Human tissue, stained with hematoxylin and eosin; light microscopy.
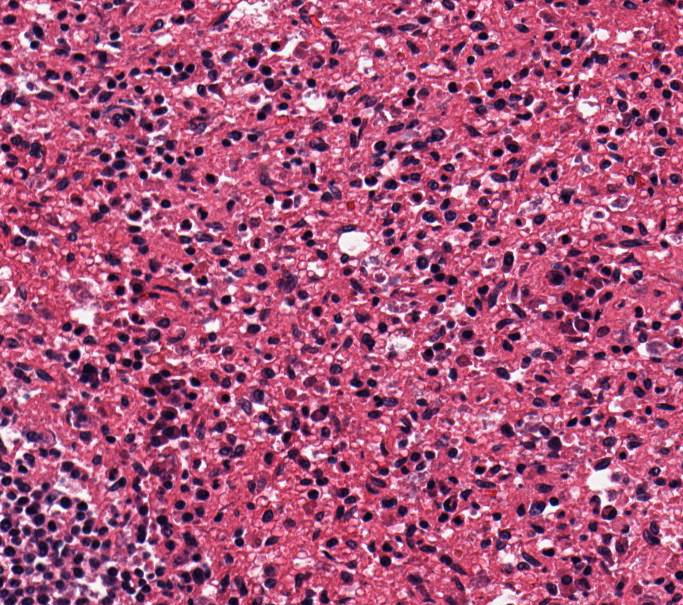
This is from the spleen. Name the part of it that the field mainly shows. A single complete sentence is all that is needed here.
The subject of this tissue section is the part called red pulp.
